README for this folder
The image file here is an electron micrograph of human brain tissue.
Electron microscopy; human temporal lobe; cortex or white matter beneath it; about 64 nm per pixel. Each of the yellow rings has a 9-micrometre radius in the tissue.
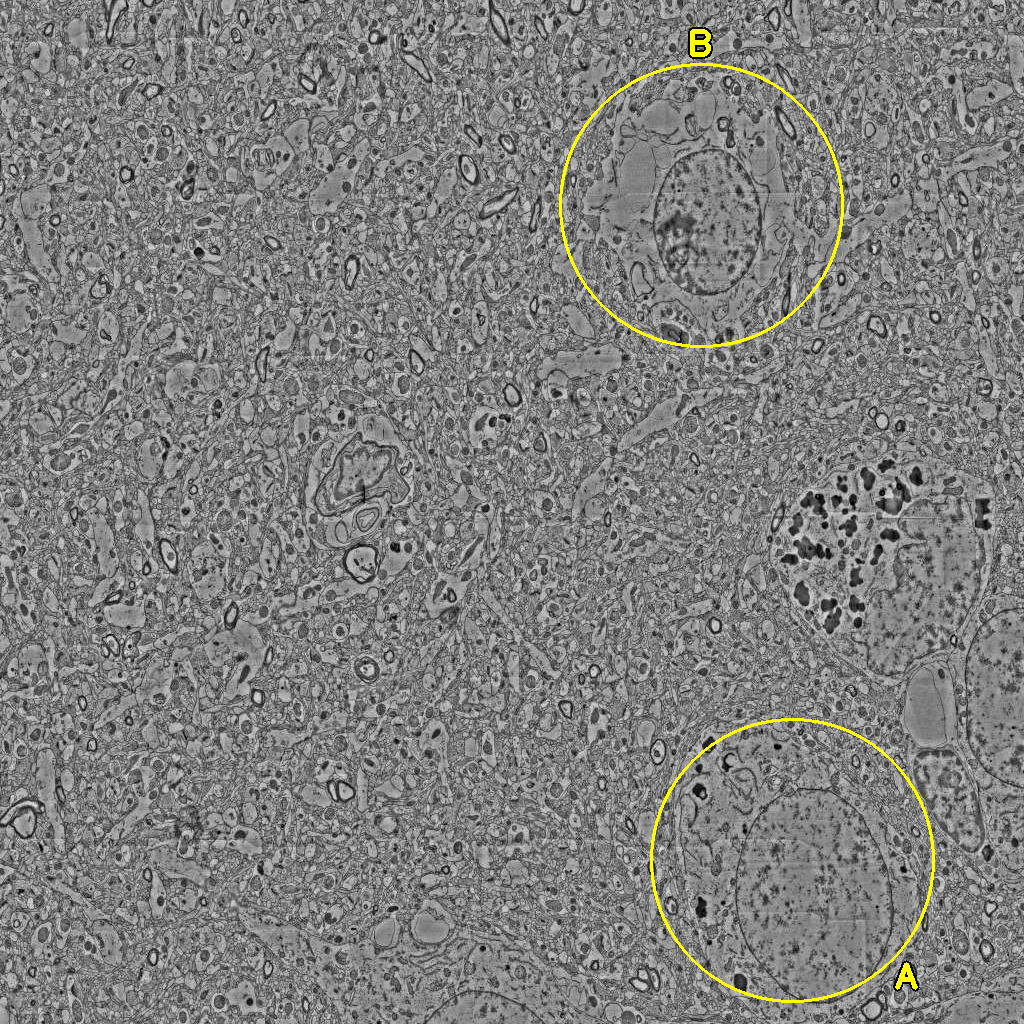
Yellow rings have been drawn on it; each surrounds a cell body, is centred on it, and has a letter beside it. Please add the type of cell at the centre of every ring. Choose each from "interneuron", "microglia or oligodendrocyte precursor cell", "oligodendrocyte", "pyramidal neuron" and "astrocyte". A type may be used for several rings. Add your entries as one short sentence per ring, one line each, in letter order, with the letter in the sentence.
Ring A marks the cell body of a pyramidal neuron.
Ring B marks the cell body of an astrocyte.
